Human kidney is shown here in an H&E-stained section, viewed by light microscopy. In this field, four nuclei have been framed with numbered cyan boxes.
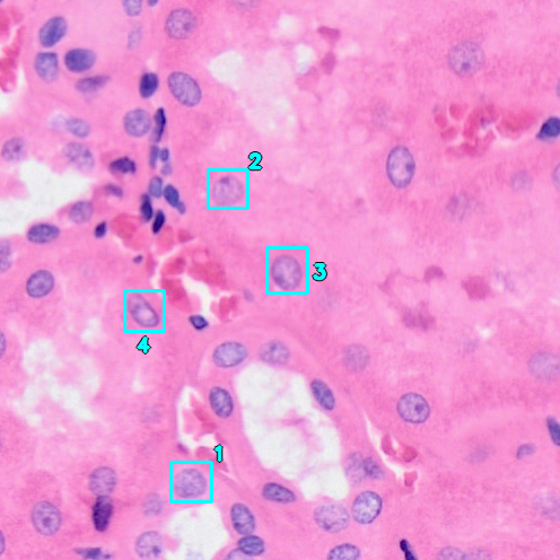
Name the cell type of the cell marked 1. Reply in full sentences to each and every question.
Number 1 among the marked cells is a collecting duct cell.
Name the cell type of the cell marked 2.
The nucleus with number 2 is that of a proximal tubule cell.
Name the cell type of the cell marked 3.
The cell that is numbered 3 is a proximal tubule cell.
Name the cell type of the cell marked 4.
As for number 4, that cell is a proximal tubule cell.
